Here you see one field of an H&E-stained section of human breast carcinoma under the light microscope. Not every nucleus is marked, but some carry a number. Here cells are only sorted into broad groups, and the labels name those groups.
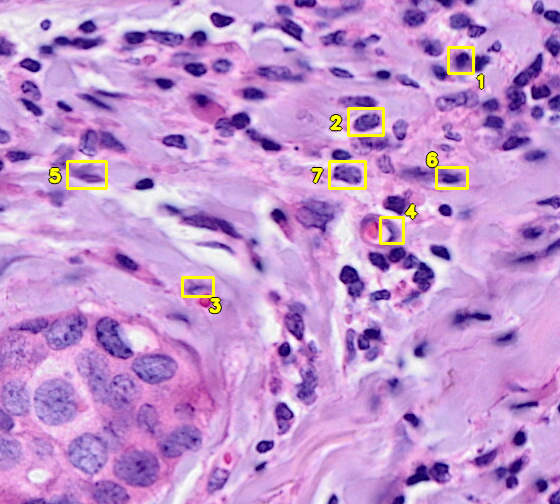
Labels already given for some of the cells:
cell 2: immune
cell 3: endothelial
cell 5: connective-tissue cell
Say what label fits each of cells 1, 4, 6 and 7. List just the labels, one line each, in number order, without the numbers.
immune
endothelial
immune
immune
